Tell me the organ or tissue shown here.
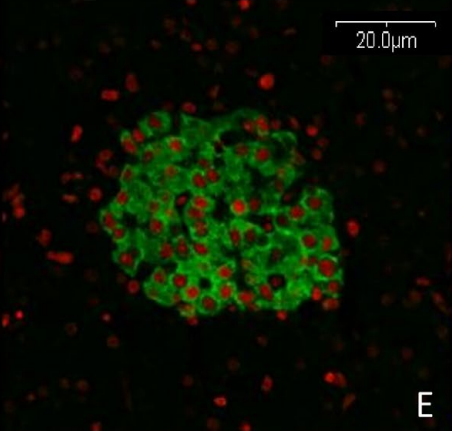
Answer: Langerhans islets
